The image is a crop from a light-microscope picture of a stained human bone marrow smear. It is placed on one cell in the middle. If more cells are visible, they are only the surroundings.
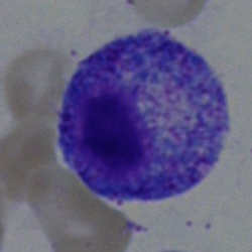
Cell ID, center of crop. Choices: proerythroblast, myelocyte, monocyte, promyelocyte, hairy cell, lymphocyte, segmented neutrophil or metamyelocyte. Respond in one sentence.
At the middle of the frame sits a promyelocyte.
